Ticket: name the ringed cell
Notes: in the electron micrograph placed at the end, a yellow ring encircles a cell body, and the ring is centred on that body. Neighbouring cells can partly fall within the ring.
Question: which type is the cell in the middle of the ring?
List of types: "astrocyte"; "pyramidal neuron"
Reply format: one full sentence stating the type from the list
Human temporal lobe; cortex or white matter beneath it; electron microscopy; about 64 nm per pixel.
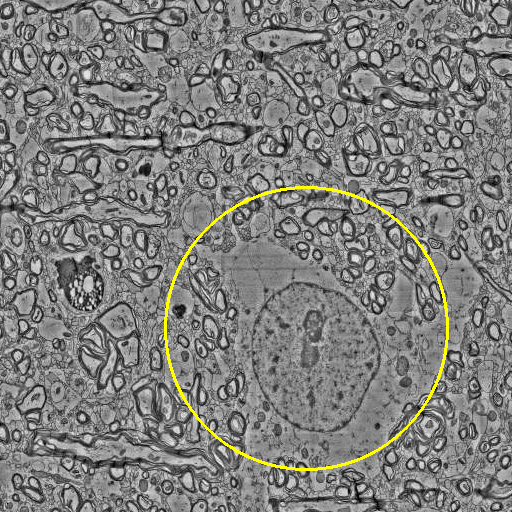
The cell sitting at the centre of the yellow ring is an astrocyte.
